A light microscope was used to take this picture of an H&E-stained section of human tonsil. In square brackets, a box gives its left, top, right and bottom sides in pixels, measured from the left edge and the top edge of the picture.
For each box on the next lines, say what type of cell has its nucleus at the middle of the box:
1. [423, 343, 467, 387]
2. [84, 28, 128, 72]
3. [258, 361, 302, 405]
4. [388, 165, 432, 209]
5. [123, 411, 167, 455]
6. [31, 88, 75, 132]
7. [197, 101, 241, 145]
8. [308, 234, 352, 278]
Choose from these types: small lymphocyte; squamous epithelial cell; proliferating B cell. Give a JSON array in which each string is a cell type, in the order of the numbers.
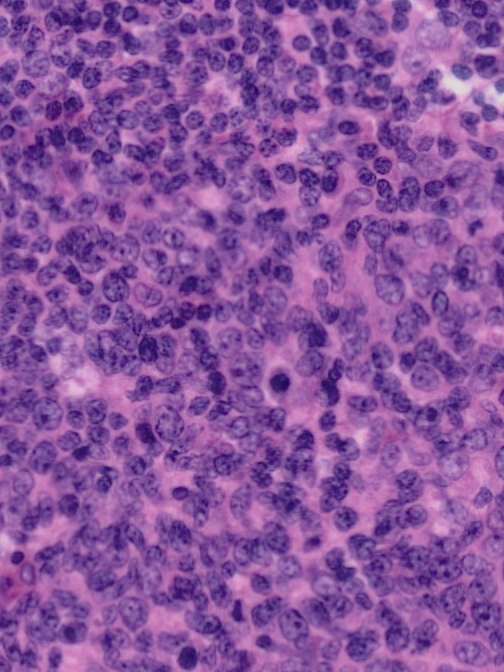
["proliferating B cell", "small lymphocyte", "proliferating B cell", "proliferating B cell", "proliferating B cell", "small lymphocyte", "small lymphocyte", "proliferating B cell"]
